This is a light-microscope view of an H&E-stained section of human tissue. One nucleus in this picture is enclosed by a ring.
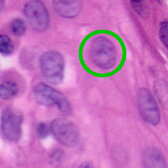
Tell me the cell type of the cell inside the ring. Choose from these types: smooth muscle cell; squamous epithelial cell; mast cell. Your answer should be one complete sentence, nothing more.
Speaking plainly, the cell inside the ring is nothing other than a squamous epithelial cell.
